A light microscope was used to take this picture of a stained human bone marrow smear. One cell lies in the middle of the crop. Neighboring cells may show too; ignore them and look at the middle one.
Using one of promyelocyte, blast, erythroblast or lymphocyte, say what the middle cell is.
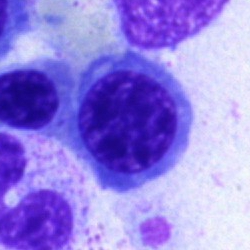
erythroblast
